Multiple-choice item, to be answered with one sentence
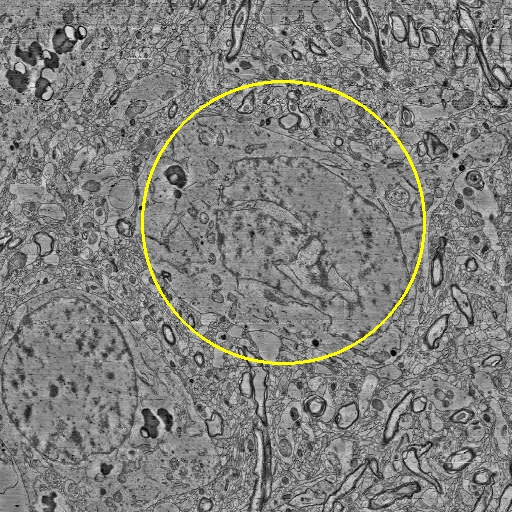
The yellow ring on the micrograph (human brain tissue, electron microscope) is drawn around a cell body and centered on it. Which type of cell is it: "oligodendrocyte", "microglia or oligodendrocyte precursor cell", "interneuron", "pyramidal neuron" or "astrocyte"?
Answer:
The ring is centered on an interneuron.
